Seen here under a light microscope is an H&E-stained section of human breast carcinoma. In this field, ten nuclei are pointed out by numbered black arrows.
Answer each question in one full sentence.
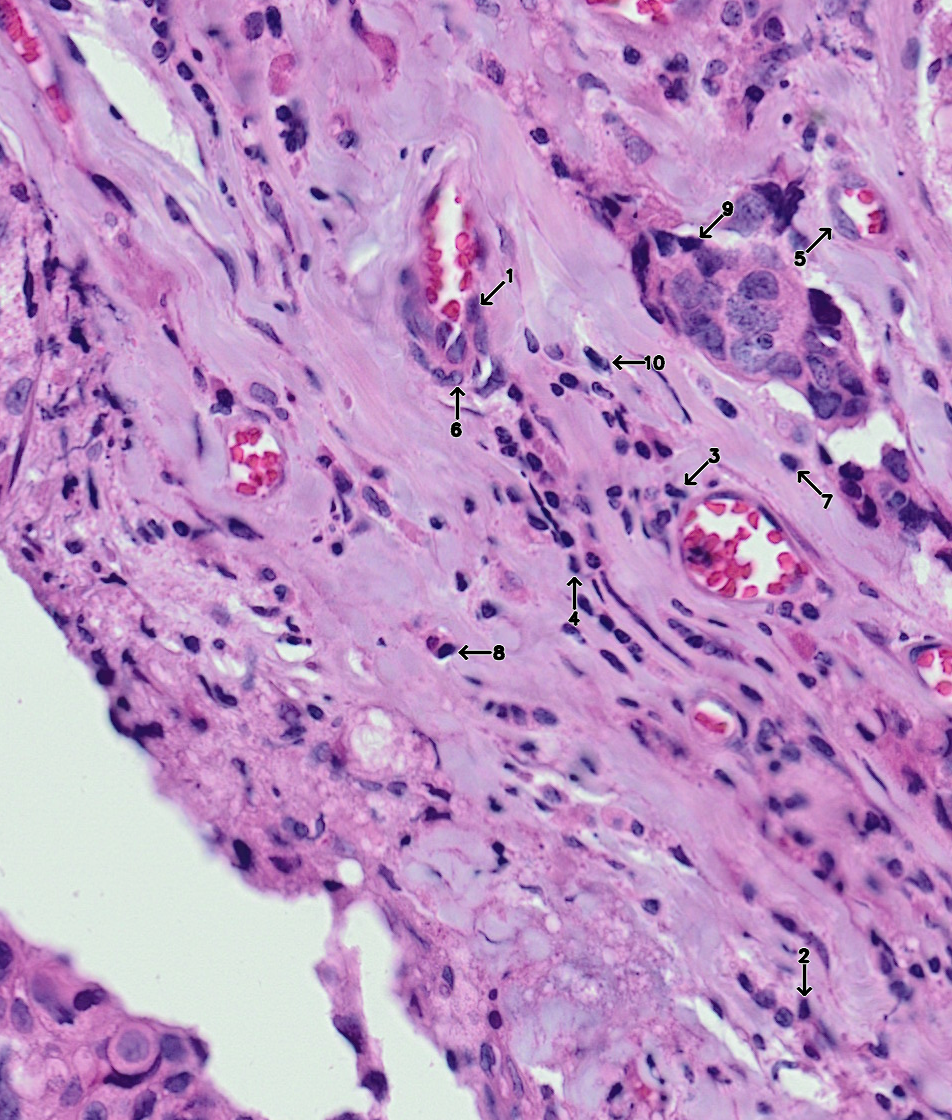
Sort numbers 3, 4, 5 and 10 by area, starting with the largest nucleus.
The nuclei rank 5, 10, 3, 4, from largest to smallest.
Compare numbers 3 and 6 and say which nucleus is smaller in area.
The smaller nucleus is 6, and 3 covers roughly 1.5 times its area.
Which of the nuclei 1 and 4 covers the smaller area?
Number 4 is smaller, since number 1 takes up about 2 times as much area.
